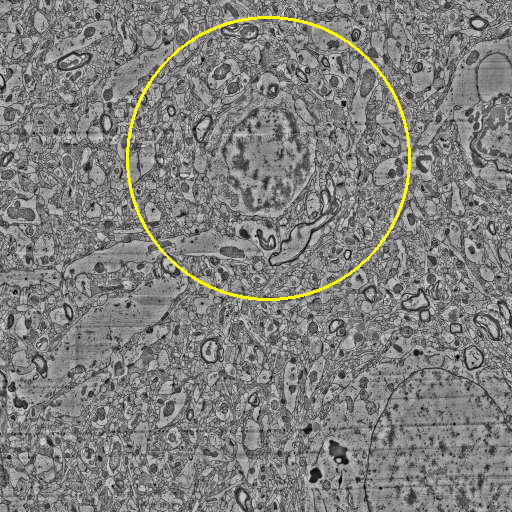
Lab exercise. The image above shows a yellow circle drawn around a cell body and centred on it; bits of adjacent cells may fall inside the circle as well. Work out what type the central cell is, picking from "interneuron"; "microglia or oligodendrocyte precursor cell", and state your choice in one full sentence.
In the image above, the cell at the centre of the yellow circle is an interneuron.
